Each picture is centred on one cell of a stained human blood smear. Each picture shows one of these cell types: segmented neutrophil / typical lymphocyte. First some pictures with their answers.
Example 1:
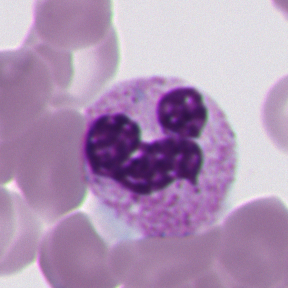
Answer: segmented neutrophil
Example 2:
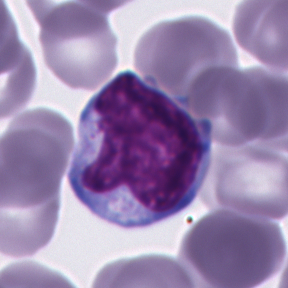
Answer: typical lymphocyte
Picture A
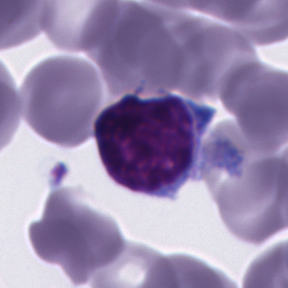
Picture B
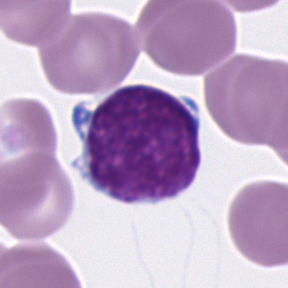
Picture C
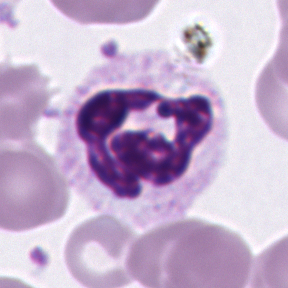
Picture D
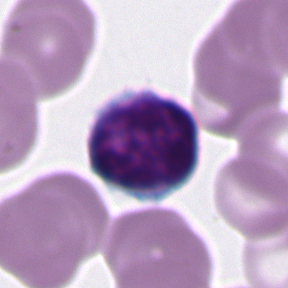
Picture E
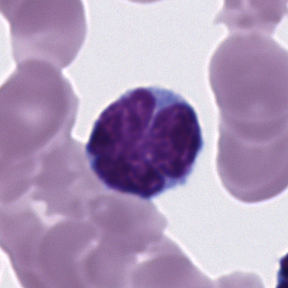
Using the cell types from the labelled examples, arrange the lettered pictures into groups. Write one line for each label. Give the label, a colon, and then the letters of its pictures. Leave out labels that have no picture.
segmented neutrophil: C
typical lymphocyte: A, B, D, E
